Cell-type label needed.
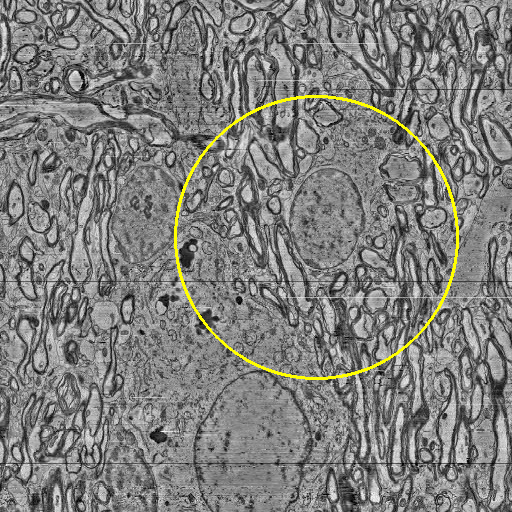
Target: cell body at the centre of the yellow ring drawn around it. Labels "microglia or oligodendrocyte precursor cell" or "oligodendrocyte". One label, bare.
microglia or oligodendrocyte precursor cell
